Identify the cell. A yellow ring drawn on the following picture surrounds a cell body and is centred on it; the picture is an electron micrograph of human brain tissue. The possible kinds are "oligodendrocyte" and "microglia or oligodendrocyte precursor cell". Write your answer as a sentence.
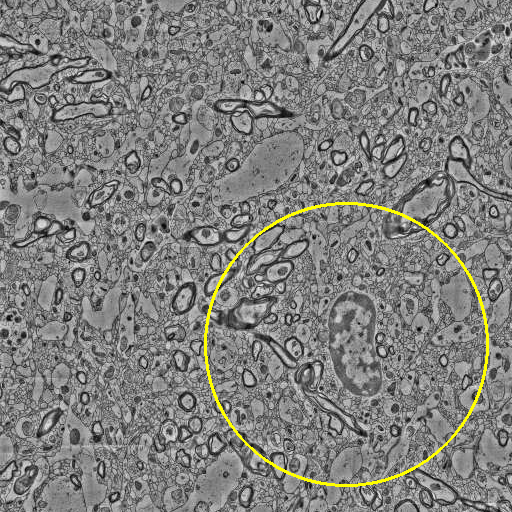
The cell identified by the ring is a microglial cell or oligodendrocyte precursor cell.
